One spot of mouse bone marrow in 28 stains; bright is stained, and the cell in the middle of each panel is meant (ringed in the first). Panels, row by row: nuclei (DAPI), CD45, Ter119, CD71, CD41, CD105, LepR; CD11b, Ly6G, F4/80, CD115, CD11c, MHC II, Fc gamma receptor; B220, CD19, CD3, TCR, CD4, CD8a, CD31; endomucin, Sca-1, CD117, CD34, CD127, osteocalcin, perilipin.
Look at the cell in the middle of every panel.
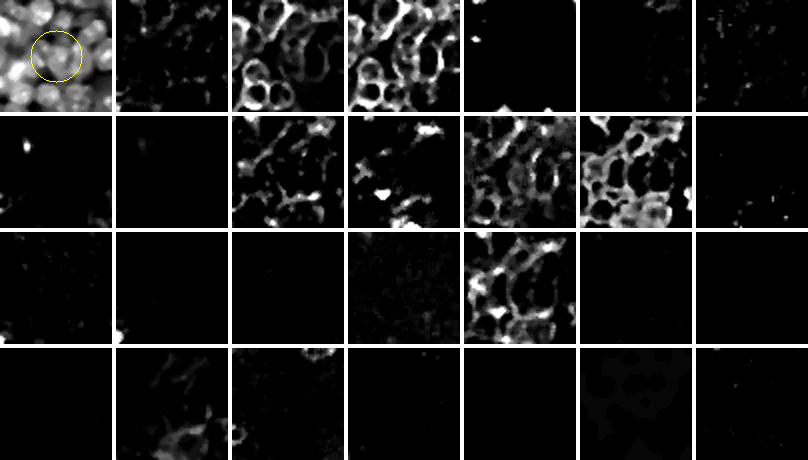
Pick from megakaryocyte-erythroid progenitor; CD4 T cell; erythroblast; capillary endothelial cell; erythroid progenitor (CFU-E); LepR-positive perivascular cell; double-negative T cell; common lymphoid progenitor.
erythroblast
